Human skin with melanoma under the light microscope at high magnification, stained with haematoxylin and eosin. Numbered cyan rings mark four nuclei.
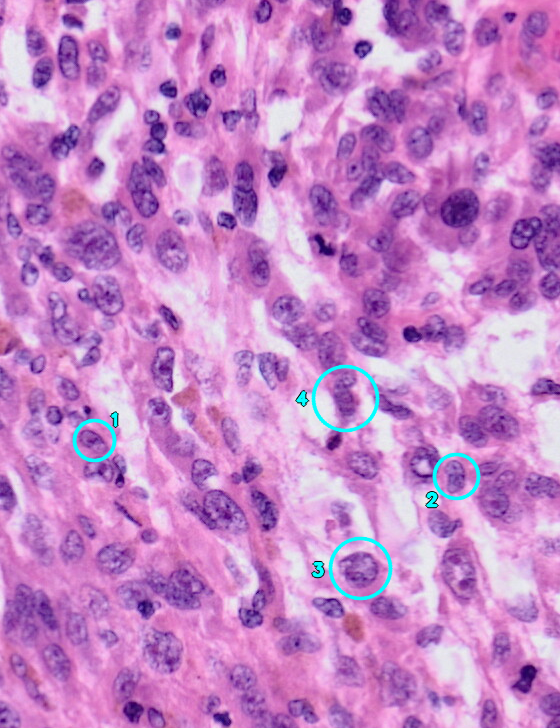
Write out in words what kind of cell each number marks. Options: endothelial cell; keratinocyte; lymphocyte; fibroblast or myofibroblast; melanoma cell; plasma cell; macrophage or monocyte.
Cells 1, 3 and 4 are melanoma cells. Cell 2 is a macrophage or monocyte.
